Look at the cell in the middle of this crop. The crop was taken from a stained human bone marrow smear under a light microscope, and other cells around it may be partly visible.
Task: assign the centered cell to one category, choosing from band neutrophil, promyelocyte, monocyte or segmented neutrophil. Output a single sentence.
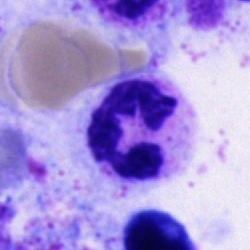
At the center of the crop sits a segmented neutrophil.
